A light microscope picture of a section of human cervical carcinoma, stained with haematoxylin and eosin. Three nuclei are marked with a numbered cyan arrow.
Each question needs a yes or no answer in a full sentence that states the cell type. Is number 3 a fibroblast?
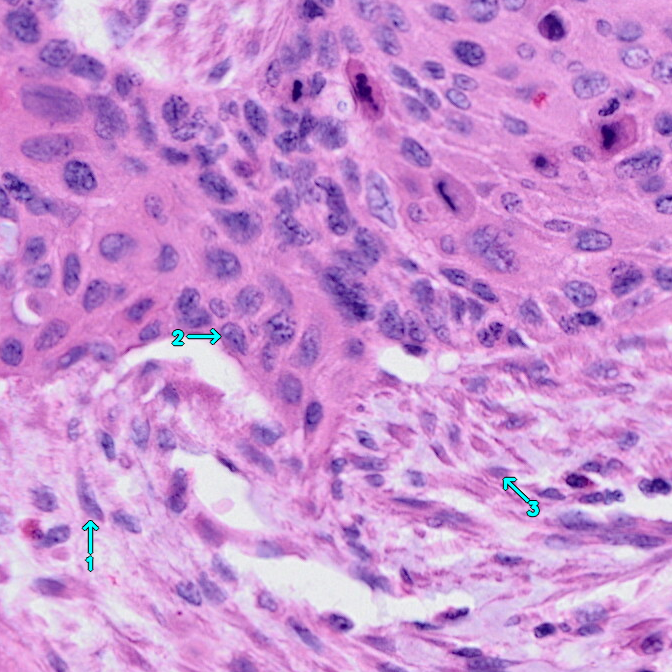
Yes, the cell marked with number 3 is a fibroblast.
